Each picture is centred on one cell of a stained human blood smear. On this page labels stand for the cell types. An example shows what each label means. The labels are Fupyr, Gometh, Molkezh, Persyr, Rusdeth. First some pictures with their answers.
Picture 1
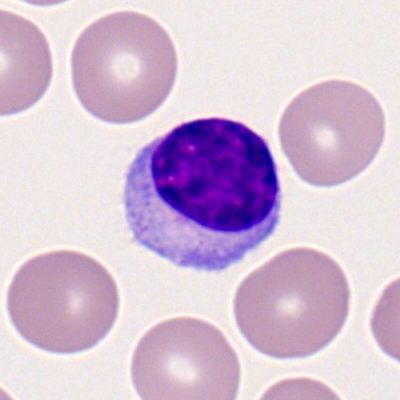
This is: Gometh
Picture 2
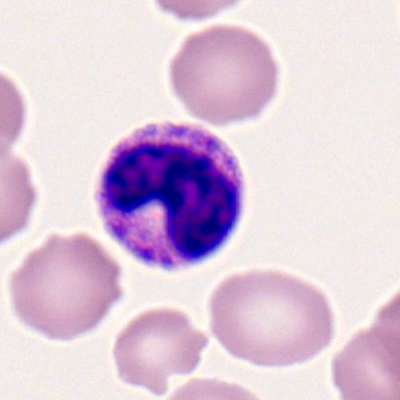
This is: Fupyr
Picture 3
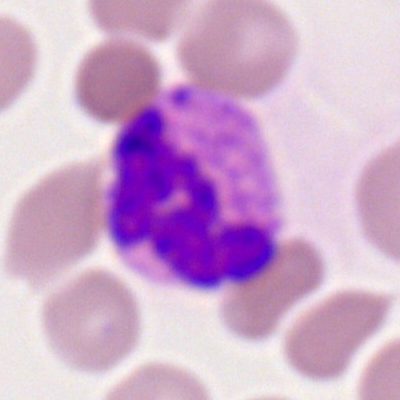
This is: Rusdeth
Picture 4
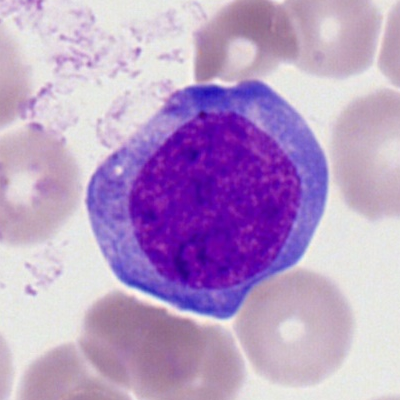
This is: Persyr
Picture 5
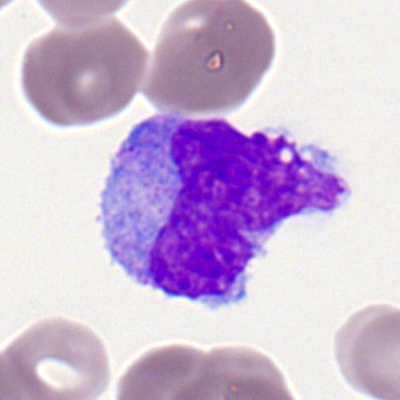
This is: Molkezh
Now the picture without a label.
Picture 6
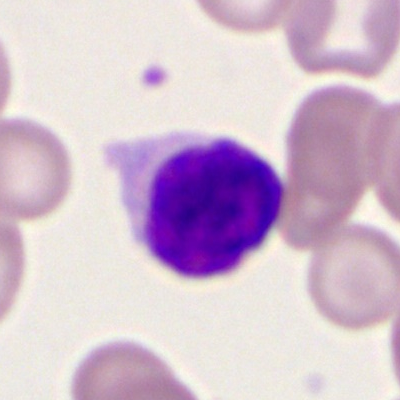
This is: Gometh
